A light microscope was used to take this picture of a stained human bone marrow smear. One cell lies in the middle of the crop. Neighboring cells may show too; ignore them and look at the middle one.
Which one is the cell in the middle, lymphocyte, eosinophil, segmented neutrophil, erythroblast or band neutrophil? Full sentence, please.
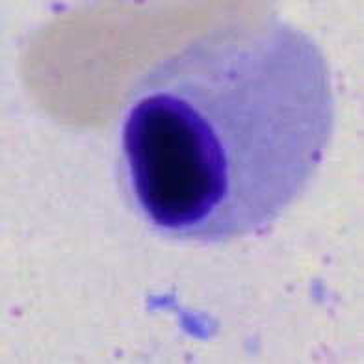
The cell of interest, in the center, is an erythroblast.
